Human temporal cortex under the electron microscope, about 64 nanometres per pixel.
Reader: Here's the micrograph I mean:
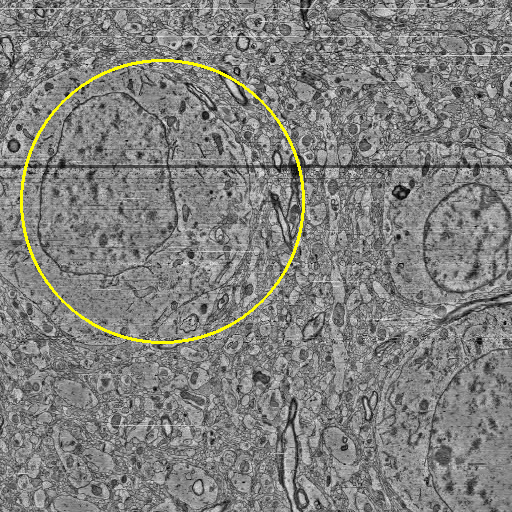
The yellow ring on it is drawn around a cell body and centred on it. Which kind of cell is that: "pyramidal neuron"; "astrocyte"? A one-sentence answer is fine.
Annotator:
The ring is centred on a pyramidal neuron.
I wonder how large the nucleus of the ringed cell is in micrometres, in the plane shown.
The ringed cell's nucleus measures approximately 12 by 9 micrometres in this plane.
